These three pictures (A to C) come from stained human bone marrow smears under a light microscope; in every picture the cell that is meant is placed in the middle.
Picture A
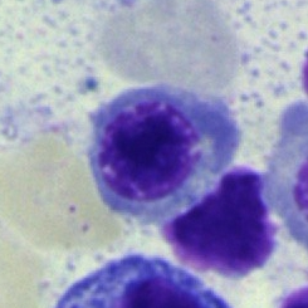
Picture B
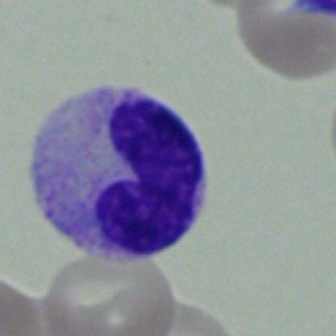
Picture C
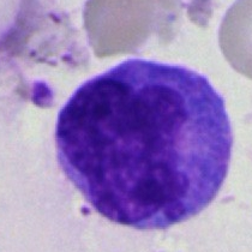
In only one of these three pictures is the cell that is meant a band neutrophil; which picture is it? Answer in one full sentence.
Picture B shows the band neutrophil.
